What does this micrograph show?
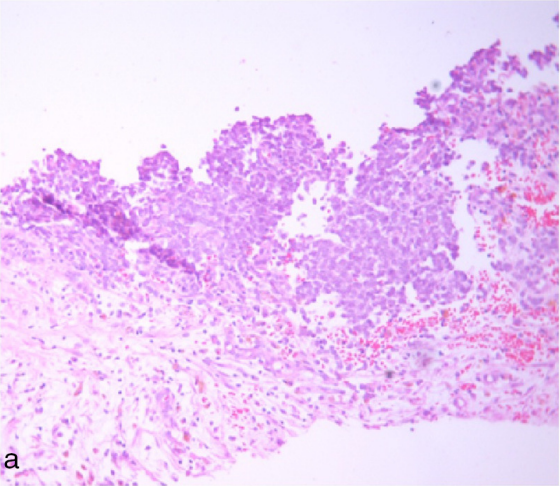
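Malignant small, round cell tumour forms crowded sheets and clusters of small cells with dark round nuclei and scant cytoplasm. The tumour lies beside loose pink fibrous stroma at the lower left, with red blood cells scattered at the right.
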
